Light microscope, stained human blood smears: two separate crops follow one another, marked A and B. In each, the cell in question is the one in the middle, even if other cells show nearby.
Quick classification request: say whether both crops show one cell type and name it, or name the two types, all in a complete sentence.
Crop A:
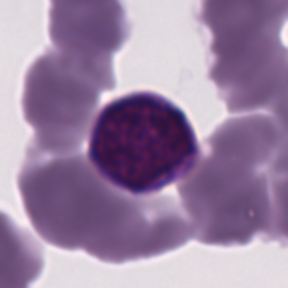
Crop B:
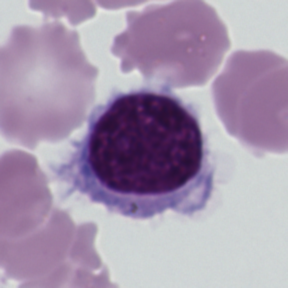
No, crop A shows a blast, with a hairy cell shown in crop B.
